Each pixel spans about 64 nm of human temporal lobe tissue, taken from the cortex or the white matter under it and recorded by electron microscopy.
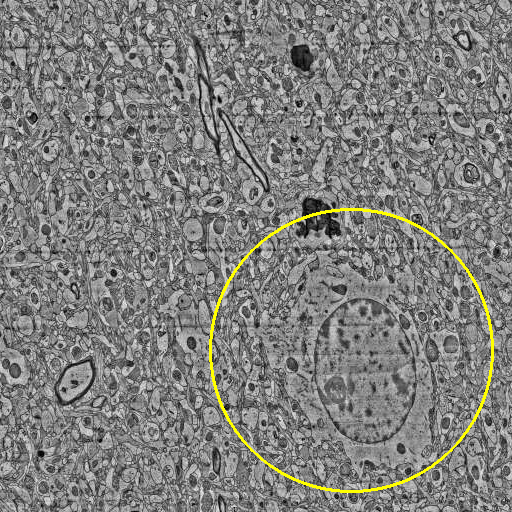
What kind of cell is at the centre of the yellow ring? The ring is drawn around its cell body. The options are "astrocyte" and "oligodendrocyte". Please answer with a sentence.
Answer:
The yellow ring marks the cell body of an astrocyte.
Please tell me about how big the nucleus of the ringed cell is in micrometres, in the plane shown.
Approximately 9 x 7 micrometres in this plane.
